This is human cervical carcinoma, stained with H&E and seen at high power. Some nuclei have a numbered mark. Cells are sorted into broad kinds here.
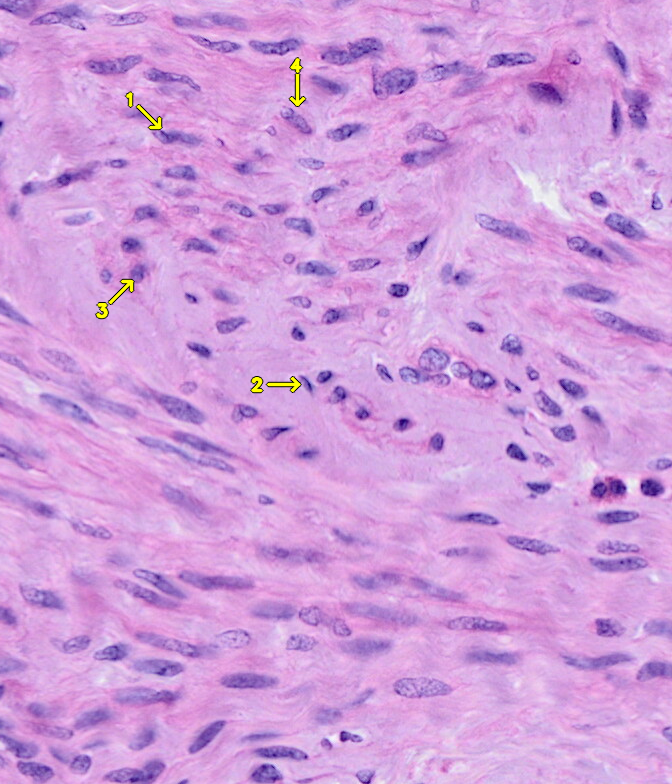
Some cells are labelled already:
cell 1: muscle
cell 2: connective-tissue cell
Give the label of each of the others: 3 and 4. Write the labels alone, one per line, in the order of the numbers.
muscle
muscle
